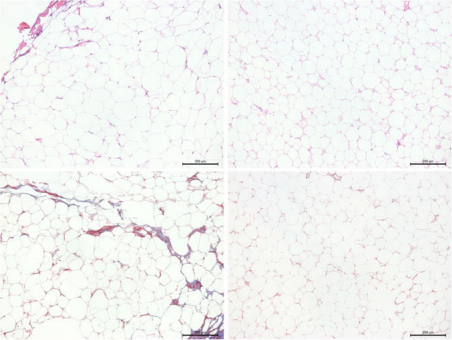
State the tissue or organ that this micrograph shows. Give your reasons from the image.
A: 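Large, round-to-polygonal empty-looking cells packed closely together. Each cell has only a thin pink rim around a clear centre.
Answer: adipose tissue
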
